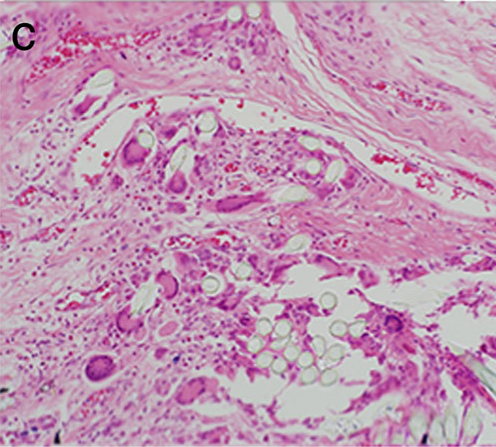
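Here soft tissue surrounds suture fibres, with multinucleated giant cells at the interface. Above, bands of pale pink fibrous tissue run across, and dilated vessels and spaces contain red blood cells. Numerous small cells with dark nuclei fill the loose tissue between the fibres, in keeping with an ongoing foreign body reaction.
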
